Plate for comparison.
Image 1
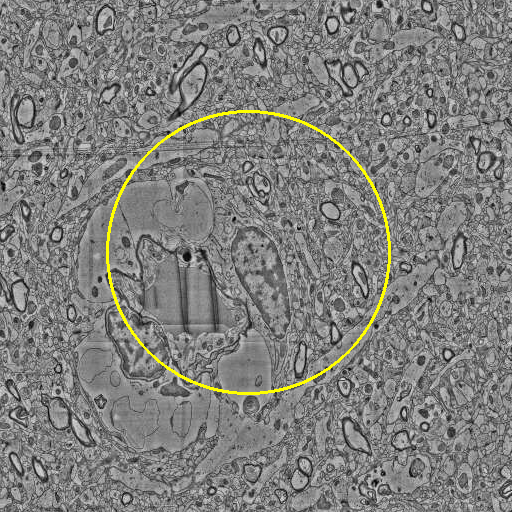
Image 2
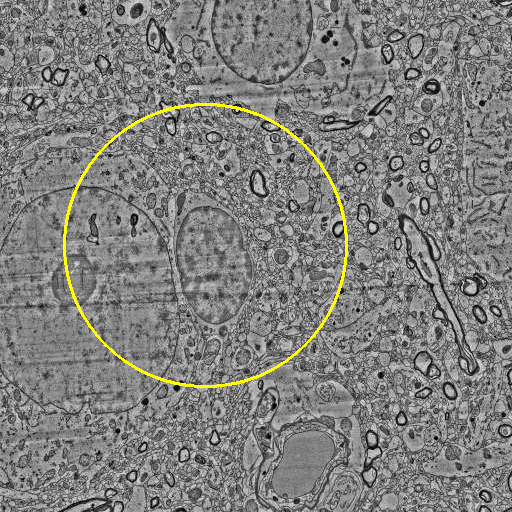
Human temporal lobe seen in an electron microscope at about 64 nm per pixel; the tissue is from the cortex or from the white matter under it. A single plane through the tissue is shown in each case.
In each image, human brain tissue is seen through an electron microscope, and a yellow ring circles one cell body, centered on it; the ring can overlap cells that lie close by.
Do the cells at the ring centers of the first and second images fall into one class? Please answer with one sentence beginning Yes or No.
No, the first and second images show two classes of cell at the ring centers.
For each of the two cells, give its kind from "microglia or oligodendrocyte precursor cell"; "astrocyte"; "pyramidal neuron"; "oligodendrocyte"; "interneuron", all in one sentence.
The first picture has a microglial cell or oligodendrocyte precursor cell in its ring, the second has an oligodendrocyte.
